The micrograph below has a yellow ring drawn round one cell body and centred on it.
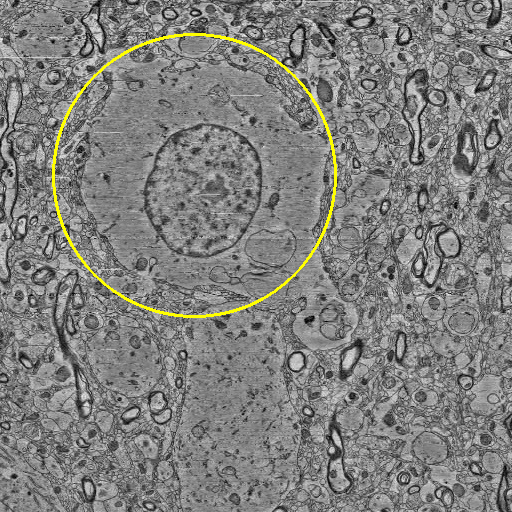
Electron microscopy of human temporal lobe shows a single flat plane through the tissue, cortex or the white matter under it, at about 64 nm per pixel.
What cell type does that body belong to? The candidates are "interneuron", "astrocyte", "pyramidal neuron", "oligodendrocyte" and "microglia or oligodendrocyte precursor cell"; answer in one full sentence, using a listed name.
This is an astrocyte, the cell whose body lies at the centre of the ring.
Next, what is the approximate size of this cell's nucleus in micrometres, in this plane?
In this plane, approximately 9 by 7 micrometers.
